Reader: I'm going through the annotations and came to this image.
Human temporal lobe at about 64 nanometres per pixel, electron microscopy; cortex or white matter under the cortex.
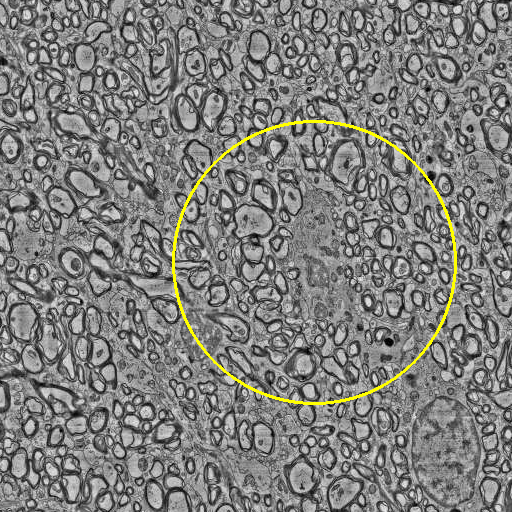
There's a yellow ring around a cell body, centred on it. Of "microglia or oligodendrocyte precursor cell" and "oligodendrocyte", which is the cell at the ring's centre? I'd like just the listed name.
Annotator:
oligodendrocyte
